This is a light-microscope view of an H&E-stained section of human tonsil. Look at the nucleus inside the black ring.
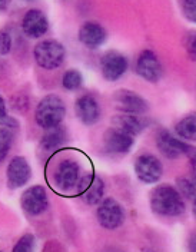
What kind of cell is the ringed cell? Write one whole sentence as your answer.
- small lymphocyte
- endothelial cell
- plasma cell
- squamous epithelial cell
The identity of the ringed cell is that of a plasma cell.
